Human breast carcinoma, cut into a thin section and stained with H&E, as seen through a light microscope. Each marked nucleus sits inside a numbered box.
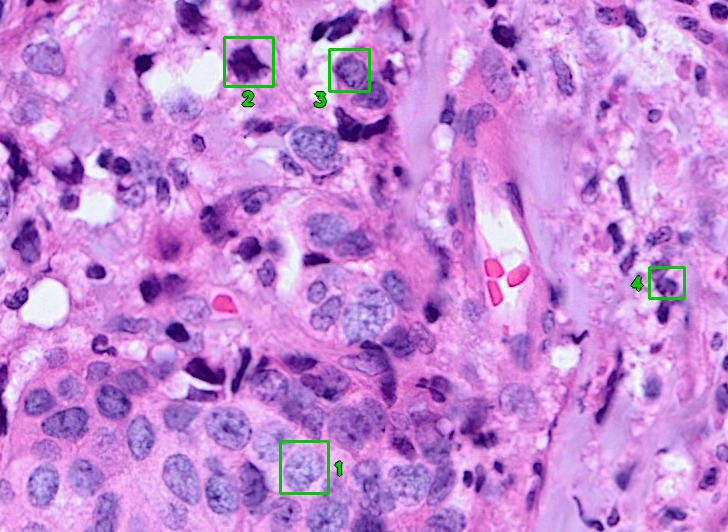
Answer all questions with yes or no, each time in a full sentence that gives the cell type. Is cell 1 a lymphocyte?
No, cell 1 is to be read as a carcinoma cell, not a lymphocyte.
